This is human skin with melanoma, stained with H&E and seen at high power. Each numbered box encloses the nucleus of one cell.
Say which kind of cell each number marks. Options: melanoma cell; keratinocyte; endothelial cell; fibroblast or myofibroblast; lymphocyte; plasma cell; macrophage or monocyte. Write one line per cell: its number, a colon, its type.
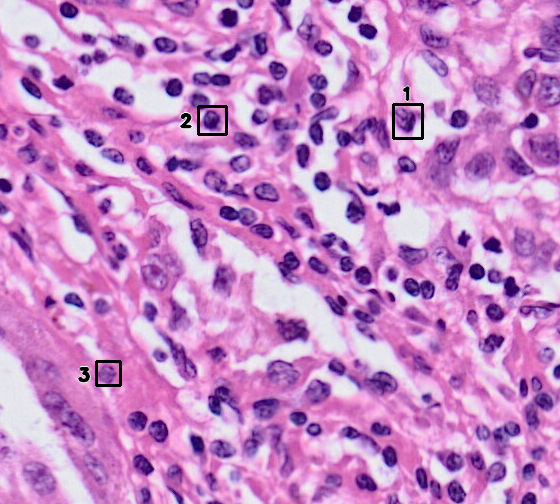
1: macrophage or monocyte
2: lymphocyte
3: macrophage or monocyte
